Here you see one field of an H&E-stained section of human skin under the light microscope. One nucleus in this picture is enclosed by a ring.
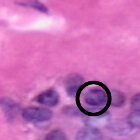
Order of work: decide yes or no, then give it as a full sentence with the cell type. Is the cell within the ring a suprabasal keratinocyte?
No, the cell within the ring counts as a basal keratinocyte, not a suprabasal keratinocyte.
